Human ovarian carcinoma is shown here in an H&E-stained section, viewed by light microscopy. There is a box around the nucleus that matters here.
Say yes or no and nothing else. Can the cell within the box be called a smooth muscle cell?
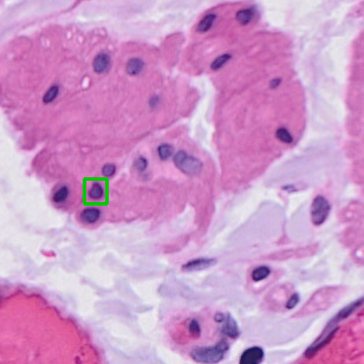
yes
